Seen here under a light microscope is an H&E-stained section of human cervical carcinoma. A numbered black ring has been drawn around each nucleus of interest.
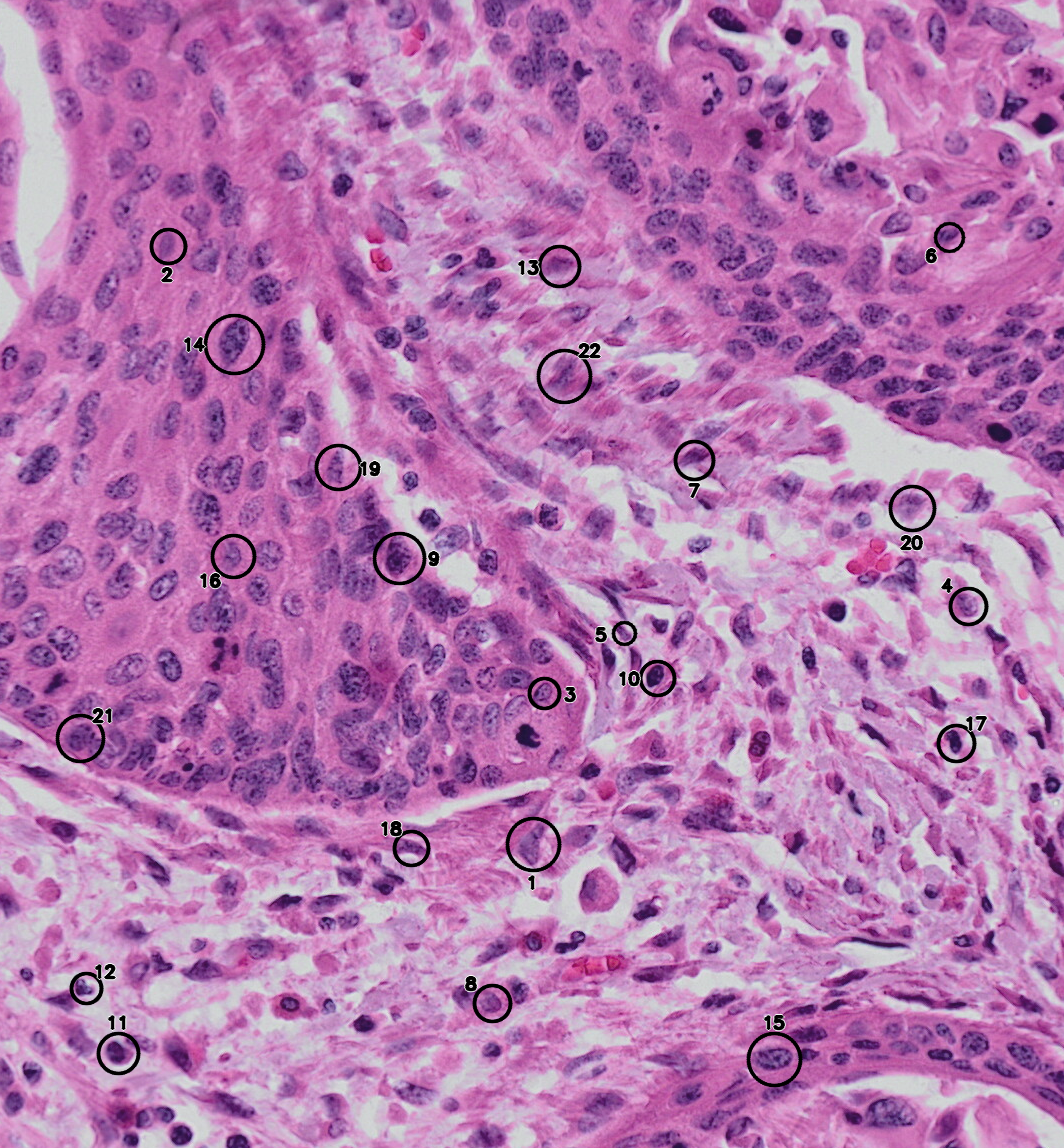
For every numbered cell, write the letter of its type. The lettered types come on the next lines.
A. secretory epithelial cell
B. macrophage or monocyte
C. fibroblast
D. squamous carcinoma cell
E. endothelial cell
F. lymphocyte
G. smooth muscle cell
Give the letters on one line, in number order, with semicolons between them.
C; D; D; B; C; D; C; B; D; F; F; F; C; D; D; D; F; C; D; C; D; C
